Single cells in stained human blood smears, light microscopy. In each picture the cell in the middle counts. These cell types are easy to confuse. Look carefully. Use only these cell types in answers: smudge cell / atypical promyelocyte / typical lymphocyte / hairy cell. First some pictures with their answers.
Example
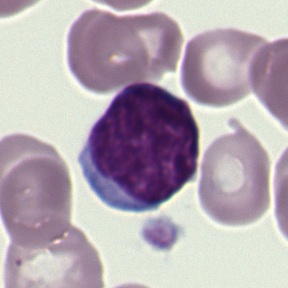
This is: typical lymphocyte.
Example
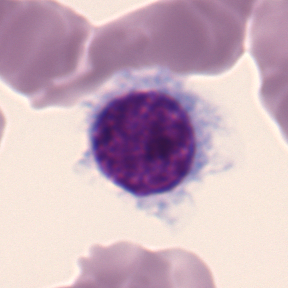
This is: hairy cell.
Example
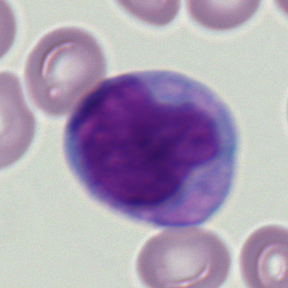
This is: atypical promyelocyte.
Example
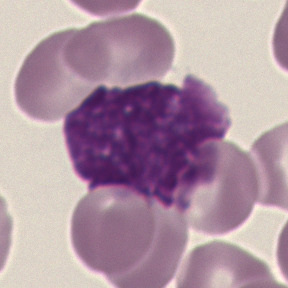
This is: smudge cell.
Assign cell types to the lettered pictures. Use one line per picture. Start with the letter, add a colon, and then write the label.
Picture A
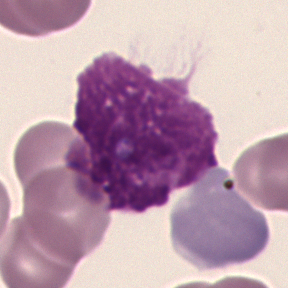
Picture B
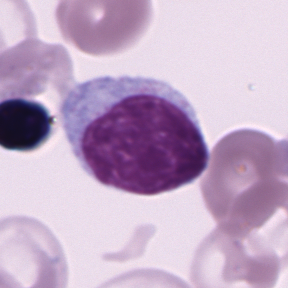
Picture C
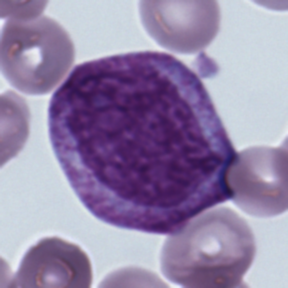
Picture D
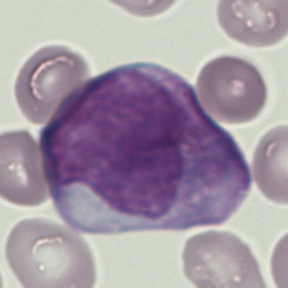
A: smudge cell.
B: typical lymphocyte.
C: atypical promyelocyte.
D: atypical promyelocyte.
